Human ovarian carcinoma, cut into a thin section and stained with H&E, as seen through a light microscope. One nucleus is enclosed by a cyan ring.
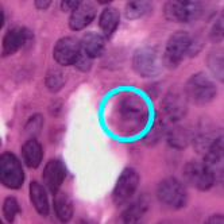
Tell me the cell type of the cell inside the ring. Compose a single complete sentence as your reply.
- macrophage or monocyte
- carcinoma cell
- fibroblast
Considered by cell type, the cell inside the ring is a carcinoma cell.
